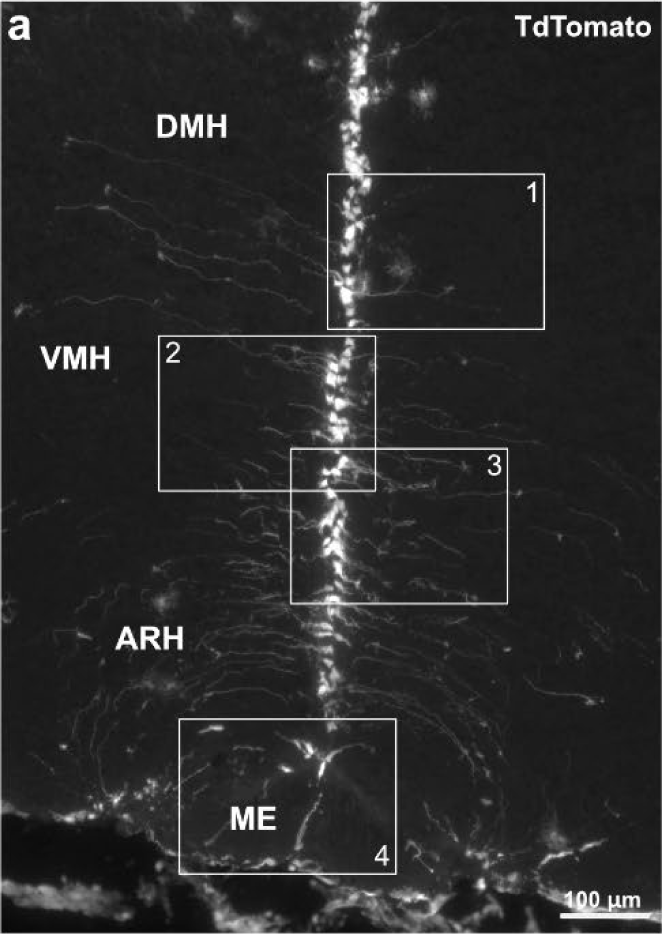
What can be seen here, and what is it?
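This low-power view shows tanycytes lining the third ventricle of the hypothalamus. Their cell bodies form a bright, densely packed column along the midline wall of the ventricle. From this column, long, thin, mostly unbranched processes extend laterally into the parenchyma on both sides. Toward the ventral end, the processes curve outward in arcs around the base of the brain near the median eminence. Only scattered labelled cells lie away from the ventricular wall.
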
